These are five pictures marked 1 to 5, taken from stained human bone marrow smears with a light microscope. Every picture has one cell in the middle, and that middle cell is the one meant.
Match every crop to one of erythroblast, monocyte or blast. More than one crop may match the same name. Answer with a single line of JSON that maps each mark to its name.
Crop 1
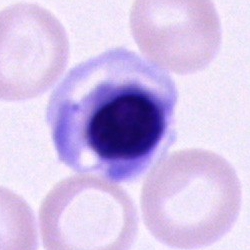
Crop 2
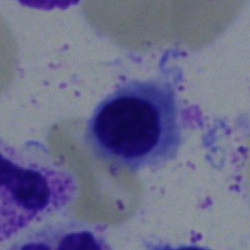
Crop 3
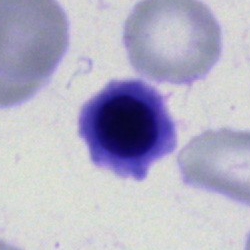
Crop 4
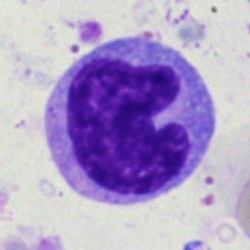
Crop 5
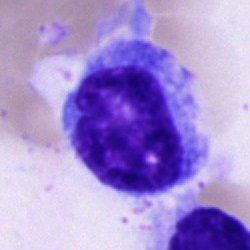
{"1": "erythroblast", "2": "erythroblast", "3": "erythroblast", "4": "monocyte", "5": "monocyte"}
